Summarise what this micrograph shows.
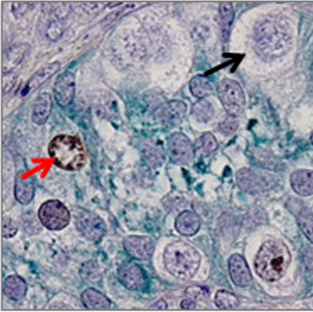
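This section of testis shows cords containing large germ cells scattered among smaller supporting cells. The cords are bounded by flattened cells with elongated nuclei, and elongated cells lie in the tissue outside them. Within the cords, many small cells with oval, purple-blue nuclei sit in a cytoplasm stained green. The large germ cells are round, with a wide pale, clear cytoplasm and a round central nucleus with finely dispersed chromatin.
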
